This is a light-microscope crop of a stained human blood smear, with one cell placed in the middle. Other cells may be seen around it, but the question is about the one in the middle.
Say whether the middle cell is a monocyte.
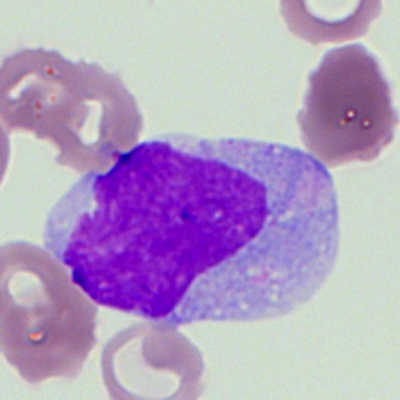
yes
